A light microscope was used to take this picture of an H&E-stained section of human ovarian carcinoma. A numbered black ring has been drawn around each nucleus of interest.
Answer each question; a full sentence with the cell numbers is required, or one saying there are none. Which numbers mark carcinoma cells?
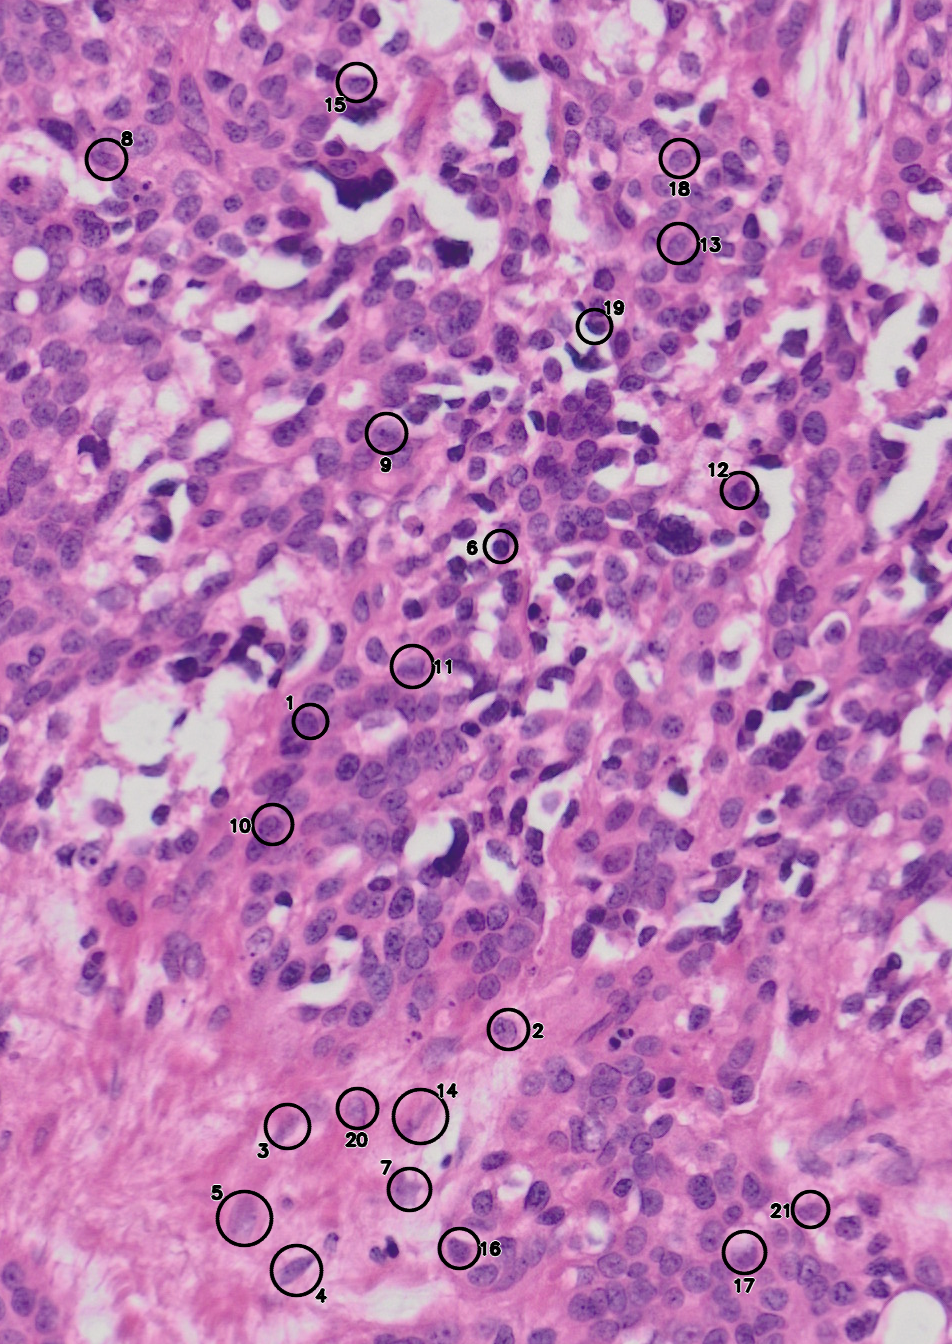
In terms of cell type, cells 1, 6, 8, 9, 10, 11, 12, 13, 17, 19 and 21 are carcinoma cells.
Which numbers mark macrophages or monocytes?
The cells to which the numbers 2, 15, 16 and 18 refer are macrophages or monocytes.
